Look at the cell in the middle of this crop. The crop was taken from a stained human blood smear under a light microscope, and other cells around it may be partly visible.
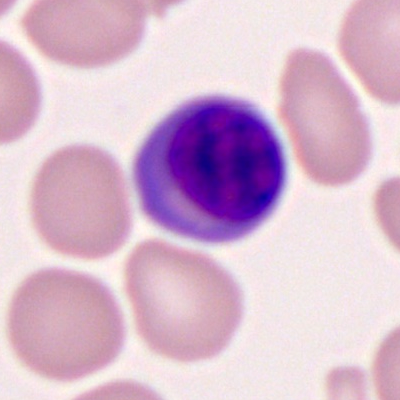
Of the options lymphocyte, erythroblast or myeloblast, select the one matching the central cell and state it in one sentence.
Centred in the crop is an erythroblast.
